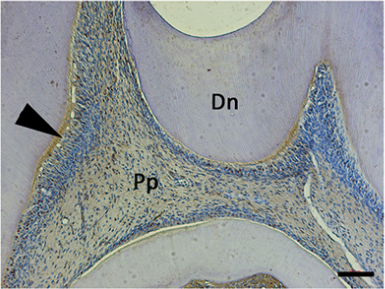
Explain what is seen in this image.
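This is the pulp of a molar tooth enclosed by dentine, with odontoblasts lining its border. Pale, acellular mineralised dentine lies above and below, and the pulp forms a central core that extends into pointed horns. Along the pulp margin against the dentine, the cells are crowded into a dense layer of blue-stained nuclei. The central pulp is looser, with scattered spindle-shaped cells and small vessels. A light brown stain is spread through the pulp and along the edge against the dentine.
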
